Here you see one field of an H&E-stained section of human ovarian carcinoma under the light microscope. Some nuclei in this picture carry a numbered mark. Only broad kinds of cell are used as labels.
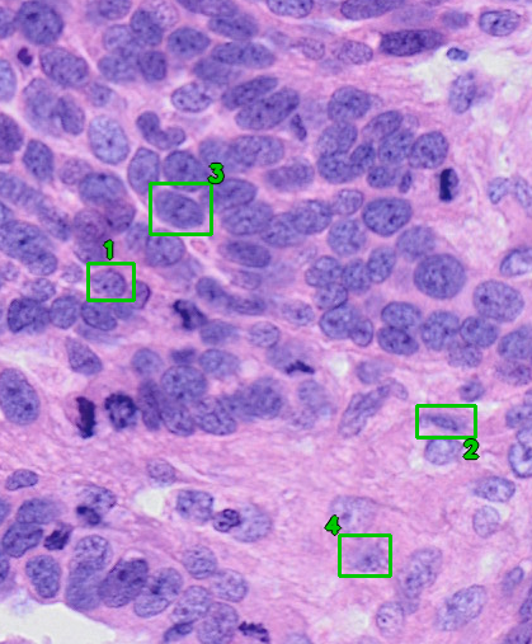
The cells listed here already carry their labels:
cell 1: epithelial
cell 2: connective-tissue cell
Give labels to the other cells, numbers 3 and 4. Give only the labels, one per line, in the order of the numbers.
epithelial
connective-tissue cell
